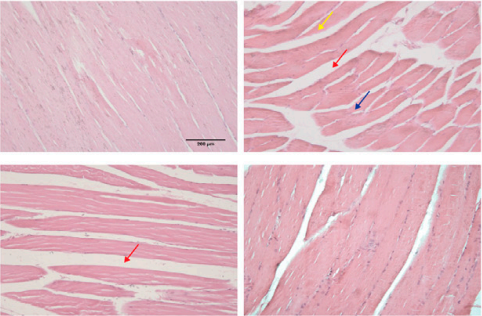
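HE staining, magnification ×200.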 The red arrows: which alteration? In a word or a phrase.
Increased intervals between muscle fibers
